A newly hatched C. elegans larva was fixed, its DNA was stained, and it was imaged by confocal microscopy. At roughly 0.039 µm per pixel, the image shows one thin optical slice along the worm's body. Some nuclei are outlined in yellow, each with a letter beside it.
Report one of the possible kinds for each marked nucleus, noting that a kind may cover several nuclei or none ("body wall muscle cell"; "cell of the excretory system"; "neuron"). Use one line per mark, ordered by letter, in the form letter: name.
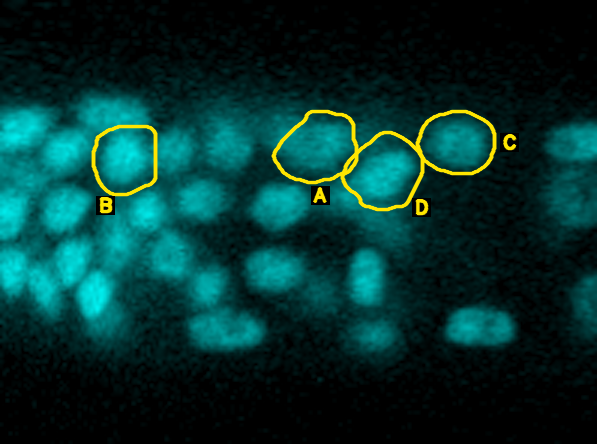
A: body wall muscle cell
B: neuron
C: body wall muscle cell
D: cell of the excretory system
